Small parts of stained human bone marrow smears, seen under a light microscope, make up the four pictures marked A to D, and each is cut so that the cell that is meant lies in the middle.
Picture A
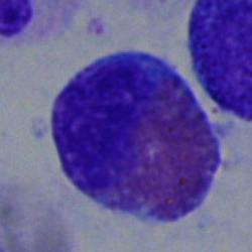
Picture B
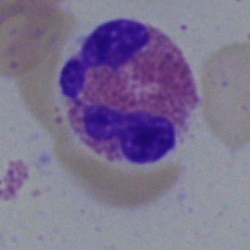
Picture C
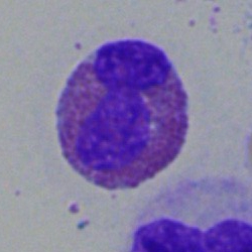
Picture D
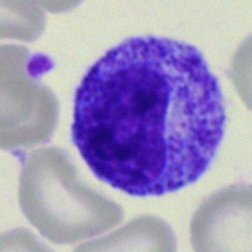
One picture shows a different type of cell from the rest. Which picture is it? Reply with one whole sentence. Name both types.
All pictures except D show eosinophils; picture D shows a myelocyte.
